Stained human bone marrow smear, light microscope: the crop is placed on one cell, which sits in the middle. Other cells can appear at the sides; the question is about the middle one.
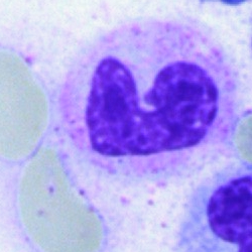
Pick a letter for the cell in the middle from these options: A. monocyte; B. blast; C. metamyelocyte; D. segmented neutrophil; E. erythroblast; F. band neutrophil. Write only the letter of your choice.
F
